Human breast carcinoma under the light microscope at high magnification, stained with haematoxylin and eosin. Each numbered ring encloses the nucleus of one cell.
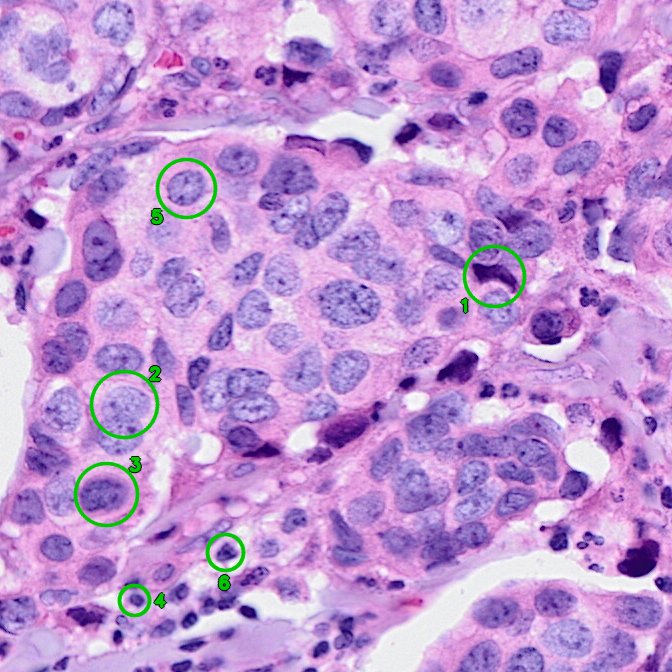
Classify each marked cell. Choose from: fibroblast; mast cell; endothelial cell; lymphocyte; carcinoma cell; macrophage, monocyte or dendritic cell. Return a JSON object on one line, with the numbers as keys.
{"1": "carcinoma cell", "2": "carcinoma cell", "3": "carcinoma cell", "4": "lymphocyte", "5": "carcinoma cell", "6": "lymphocyte"}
